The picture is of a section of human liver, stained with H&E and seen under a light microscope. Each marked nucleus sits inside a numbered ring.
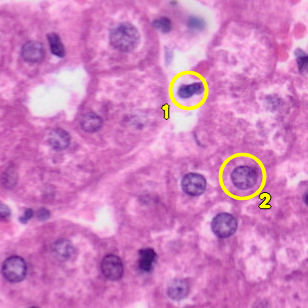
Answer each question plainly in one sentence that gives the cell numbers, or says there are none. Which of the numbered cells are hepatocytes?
Of the cells bearing numbers, the only one that is a hepatocyte is cell 2.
